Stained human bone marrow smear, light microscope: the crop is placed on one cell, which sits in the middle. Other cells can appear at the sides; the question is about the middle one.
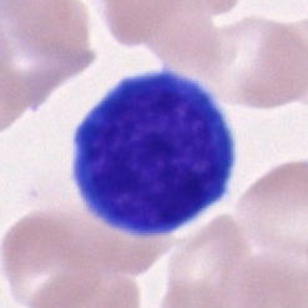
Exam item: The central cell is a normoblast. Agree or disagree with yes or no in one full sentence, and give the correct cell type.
Yes, the middle cell in this crop is a normoblast.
